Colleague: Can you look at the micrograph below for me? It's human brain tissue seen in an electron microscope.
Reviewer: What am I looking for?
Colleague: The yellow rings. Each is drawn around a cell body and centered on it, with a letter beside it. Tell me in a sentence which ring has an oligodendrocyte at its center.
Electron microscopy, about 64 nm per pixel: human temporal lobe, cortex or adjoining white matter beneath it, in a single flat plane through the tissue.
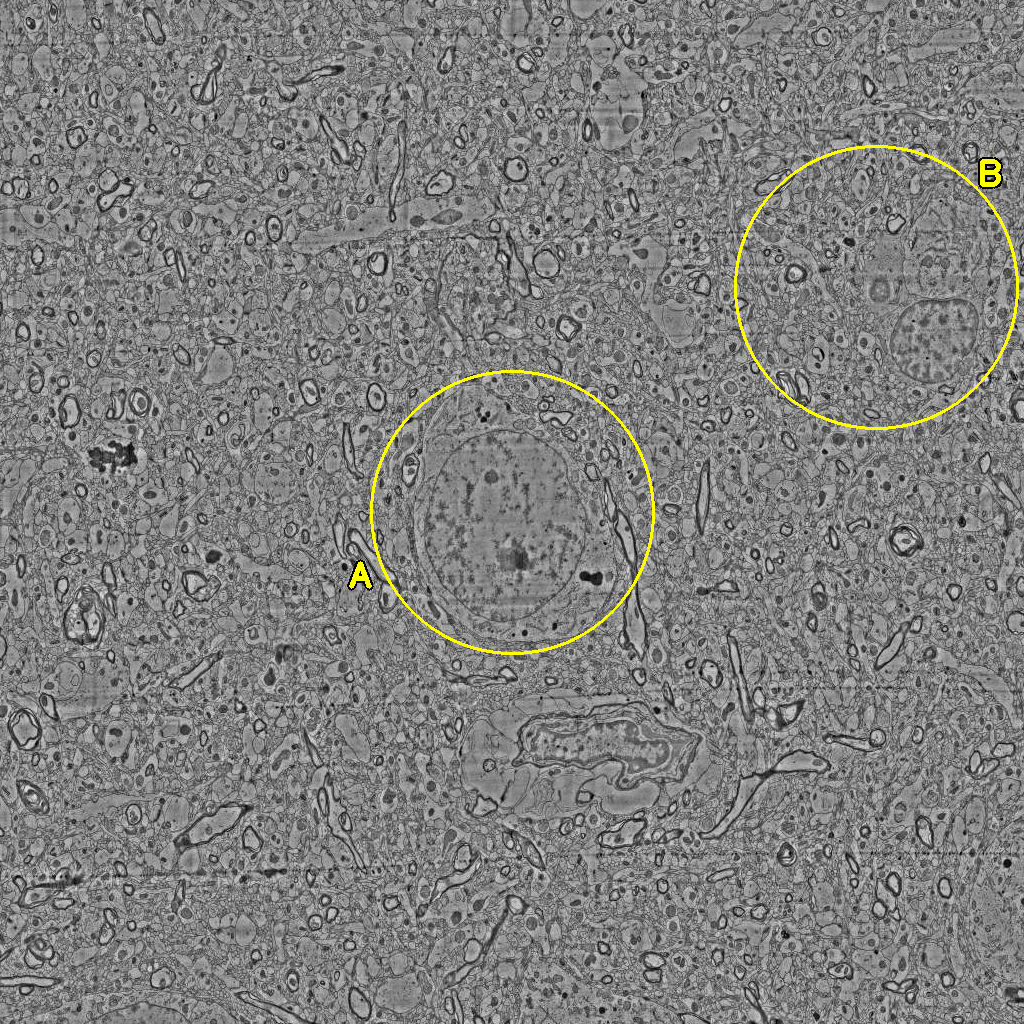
It's the cell in ring B.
